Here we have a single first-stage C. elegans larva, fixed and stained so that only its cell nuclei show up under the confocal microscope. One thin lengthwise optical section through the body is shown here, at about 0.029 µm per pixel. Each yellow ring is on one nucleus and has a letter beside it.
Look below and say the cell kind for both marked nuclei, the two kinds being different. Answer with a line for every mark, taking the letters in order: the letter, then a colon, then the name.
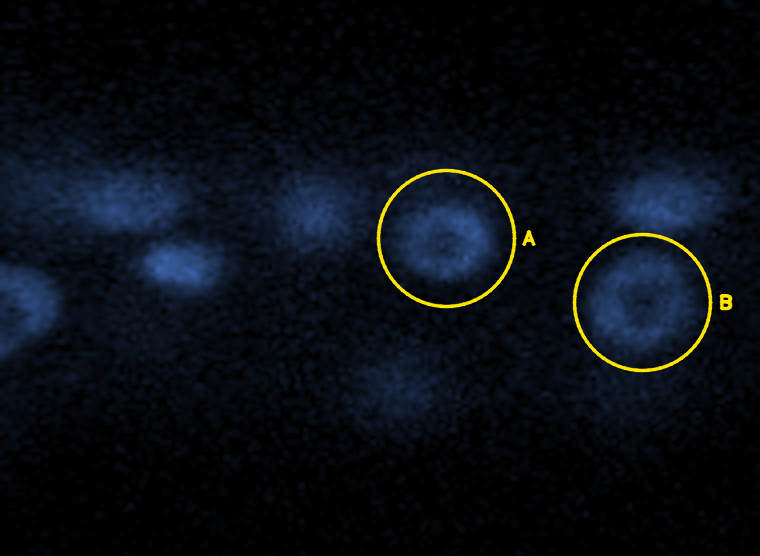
A: seam cell
B: hypodermal cell (hyp)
